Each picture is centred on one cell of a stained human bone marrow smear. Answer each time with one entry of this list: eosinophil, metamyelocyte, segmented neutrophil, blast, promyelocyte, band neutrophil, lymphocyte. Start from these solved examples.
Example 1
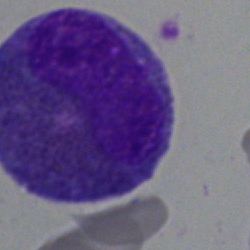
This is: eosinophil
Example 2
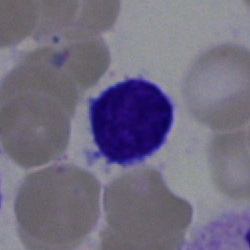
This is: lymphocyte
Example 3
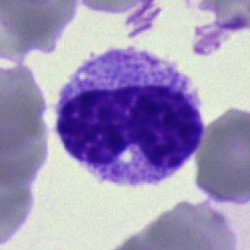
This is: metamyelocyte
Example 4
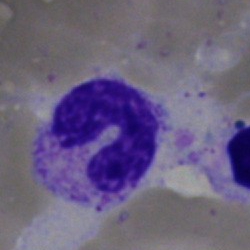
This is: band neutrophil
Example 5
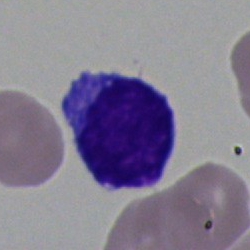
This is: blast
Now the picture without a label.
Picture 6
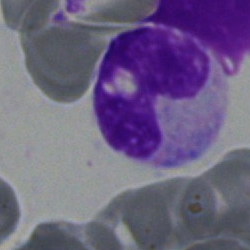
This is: band neutrophil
